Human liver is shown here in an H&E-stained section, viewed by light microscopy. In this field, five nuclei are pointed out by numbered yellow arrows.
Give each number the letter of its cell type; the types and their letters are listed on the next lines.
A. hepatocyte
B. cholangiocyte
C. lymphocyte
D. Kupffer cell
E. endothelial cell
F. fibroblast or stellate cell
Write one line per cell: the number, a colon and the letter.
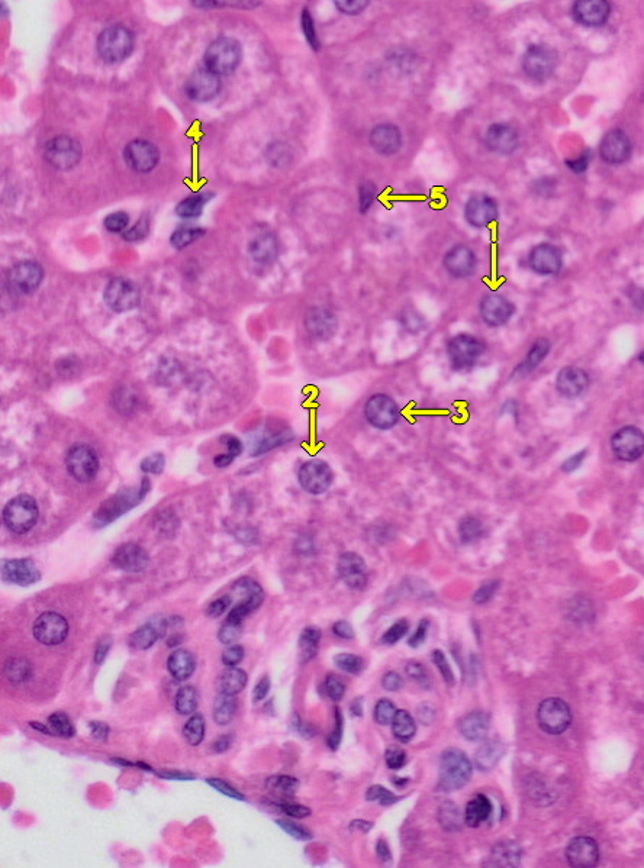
1: A
2: A
3: A
4: C
5: F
